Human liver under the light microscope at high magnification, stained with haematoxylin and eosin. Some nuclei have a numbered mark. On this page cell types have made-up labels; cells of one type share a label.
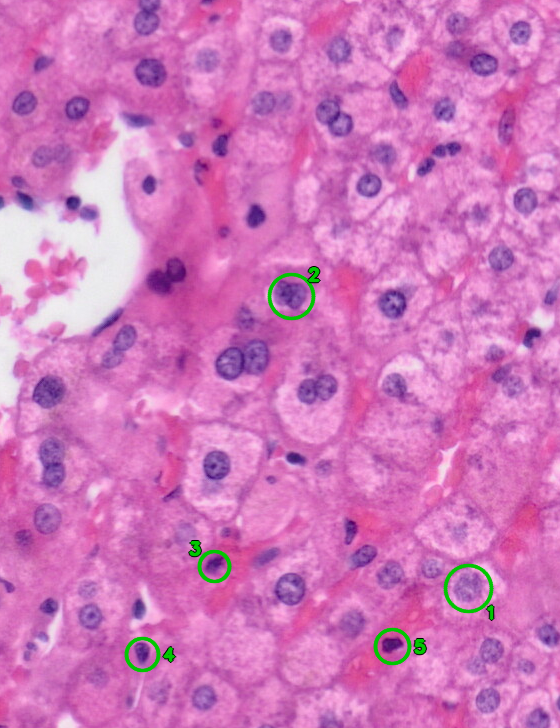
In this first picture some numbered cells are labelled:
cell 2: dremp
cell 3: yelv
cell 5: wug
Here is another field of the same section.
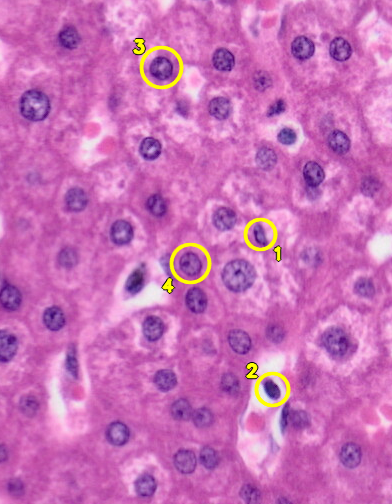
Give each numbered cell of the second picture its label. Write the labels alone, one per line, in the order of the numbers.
yelv
wug
dremp
dremp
